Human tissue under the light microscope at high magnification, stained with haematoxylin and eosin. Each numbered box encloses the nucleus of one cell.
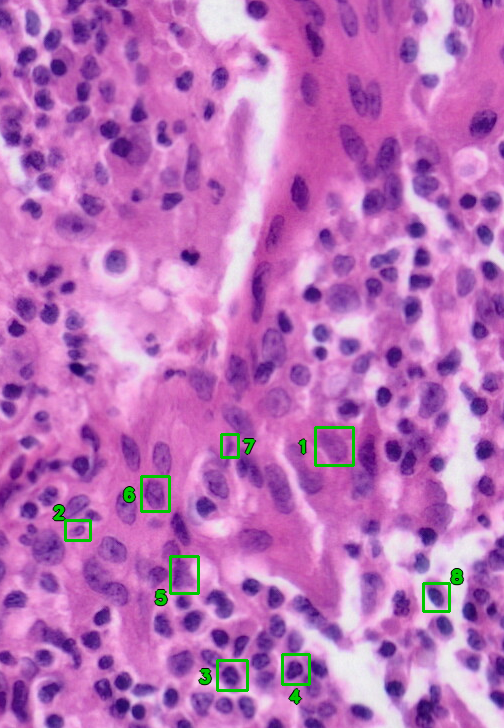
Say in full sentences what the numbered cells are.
Cell 1 is a squamous epithelial cell, cell 2 is a squamous epithelial cell, cell 3 is a plasma cell, cell 4 is a plasma cell, cell 5 is a squamous epithelial cell, cell 6 is a squamous epithelial cell, cell 7 is a squamous epithelial cell and cell 8 is a plasma cell.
